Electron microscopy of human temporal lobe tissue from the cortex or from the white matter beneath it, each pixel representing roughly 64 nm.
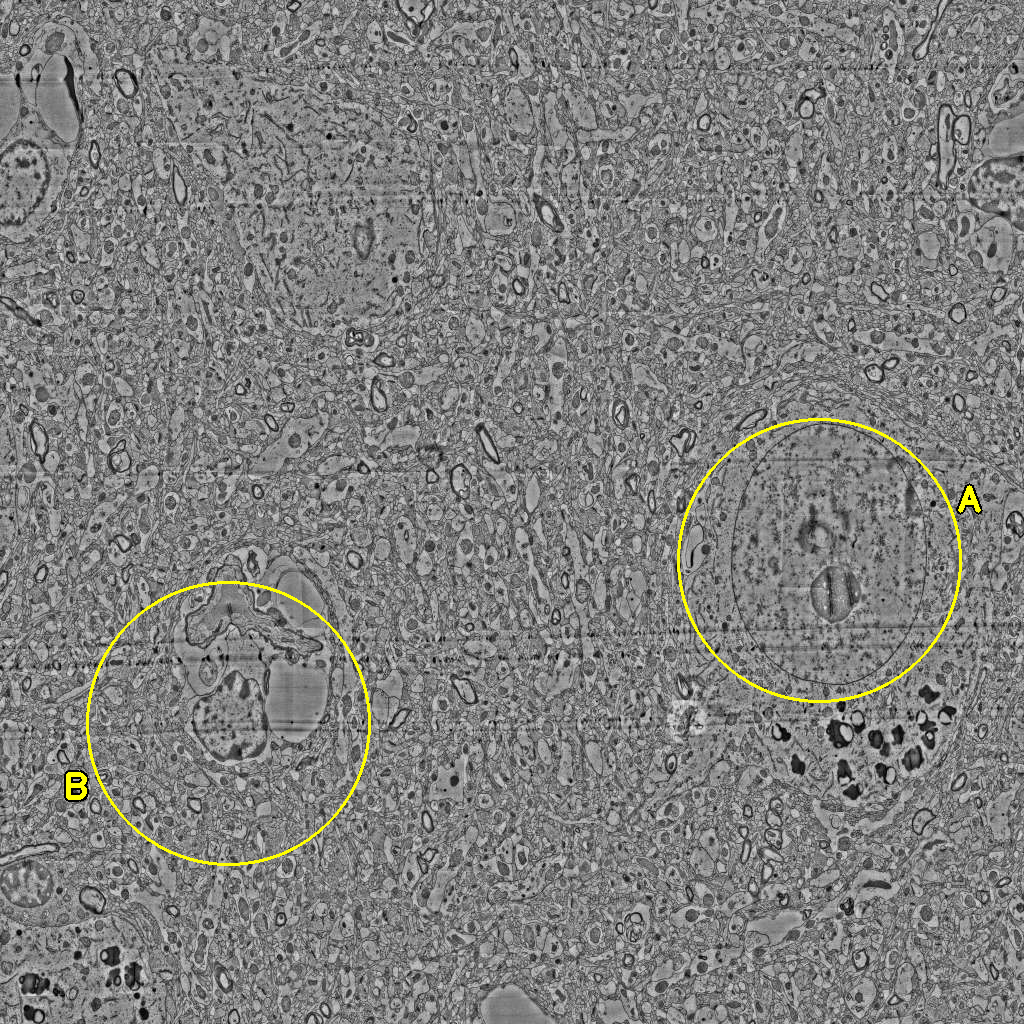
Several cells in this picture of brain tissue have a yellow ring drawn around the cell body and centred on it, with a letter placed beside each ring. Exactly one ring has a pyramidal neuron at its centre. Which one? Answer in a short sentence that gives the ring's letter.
Ring A is centred on it.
